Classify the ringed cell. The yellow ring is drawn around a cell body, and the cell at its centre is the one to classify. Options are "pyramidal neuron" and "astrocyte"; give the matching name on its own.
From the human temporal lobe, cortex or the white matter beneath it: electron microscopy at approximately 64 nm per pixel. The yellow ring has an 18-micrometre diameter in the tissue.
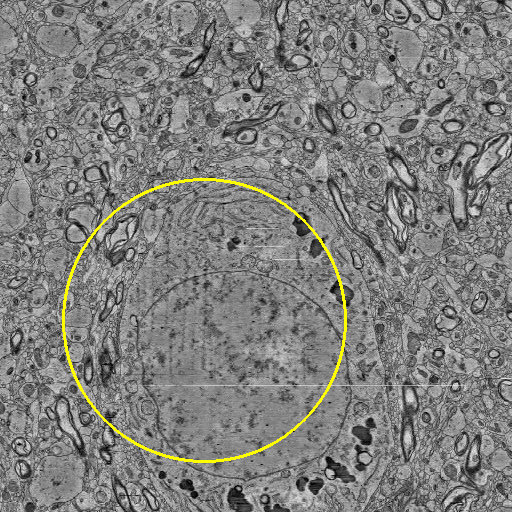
pyramidal neuron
